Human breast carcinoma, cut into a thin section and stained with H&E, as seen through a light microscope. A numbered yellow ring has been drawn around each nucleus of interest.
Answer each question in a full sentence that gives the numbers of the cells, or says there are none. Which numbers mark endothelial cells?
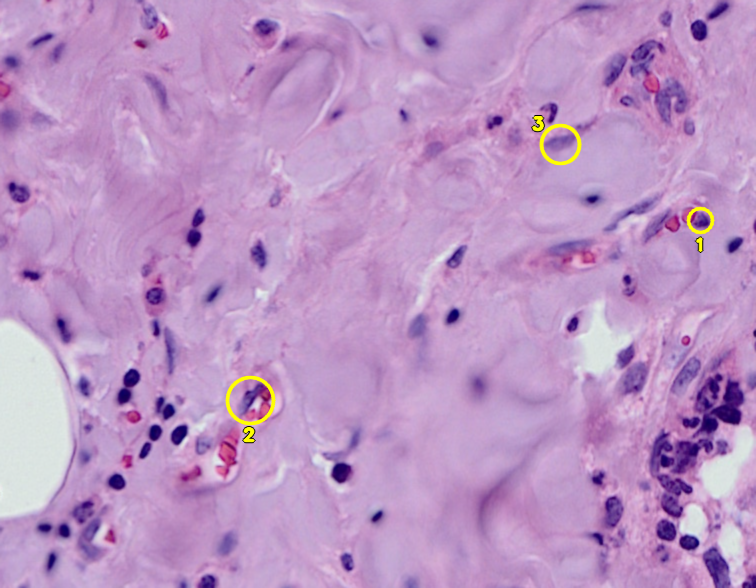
The cells 1 and 2 in this section are endothelial cells.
